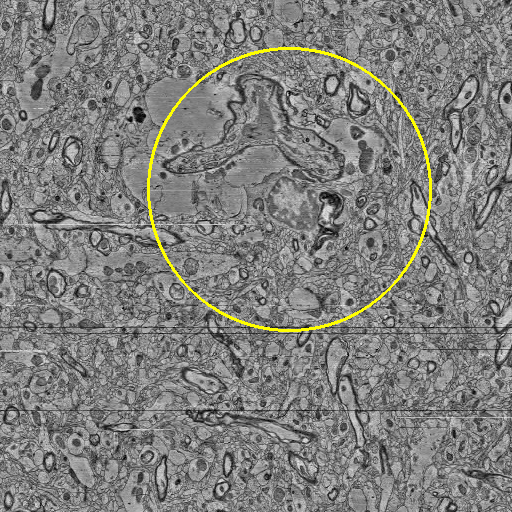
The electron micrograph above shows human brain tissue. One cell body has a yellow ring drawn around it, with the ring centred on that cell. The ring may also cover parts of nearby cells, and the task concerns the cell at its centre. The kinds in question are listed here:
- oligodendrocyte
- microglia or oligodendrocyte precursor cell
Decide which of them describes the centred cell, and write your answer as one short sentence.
The centred cell is an oligodendrocyte.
